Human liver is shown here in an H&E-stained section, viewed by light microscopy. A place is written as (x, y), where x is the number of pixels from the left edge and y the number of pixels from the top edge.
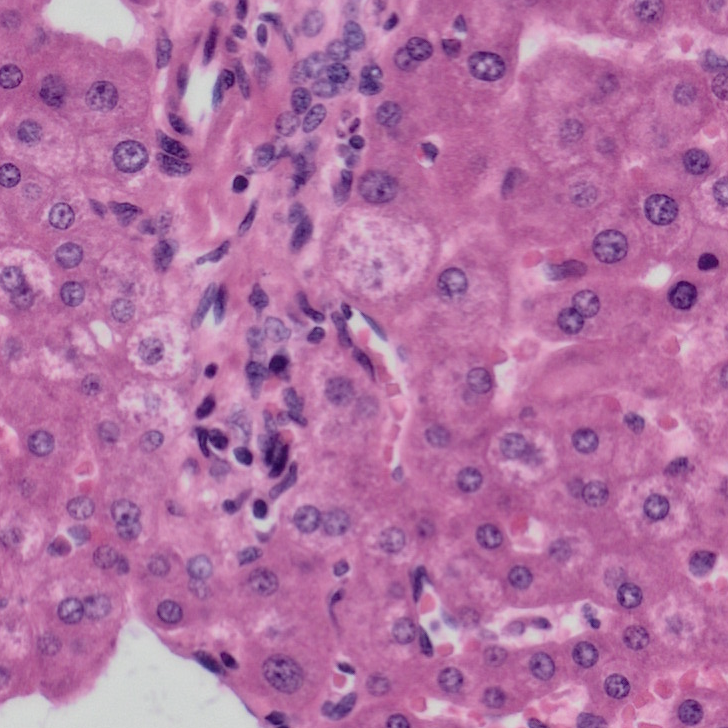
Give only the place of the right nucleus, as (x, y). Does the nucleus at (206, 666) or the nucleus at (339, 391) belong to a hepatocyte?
(339, 391)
